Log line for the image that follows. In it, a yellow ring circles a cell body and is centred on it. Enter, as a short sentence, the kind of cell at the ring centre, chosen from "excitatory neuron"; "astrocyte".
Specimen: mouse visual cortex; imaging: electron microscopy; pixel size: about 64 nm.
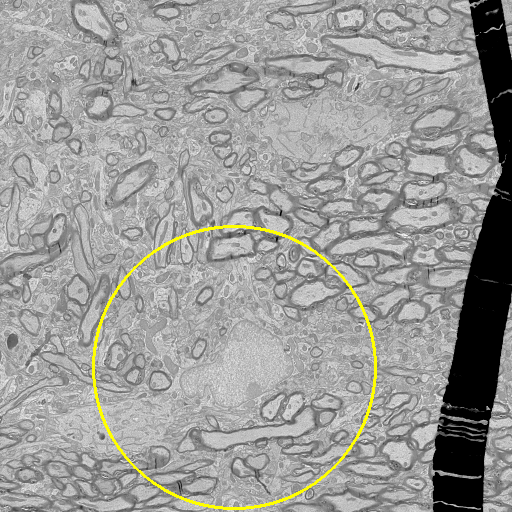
The ring centre is occupied by an astrocyte.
